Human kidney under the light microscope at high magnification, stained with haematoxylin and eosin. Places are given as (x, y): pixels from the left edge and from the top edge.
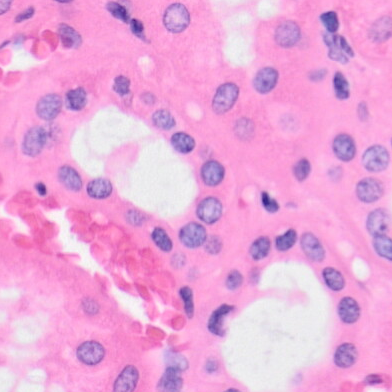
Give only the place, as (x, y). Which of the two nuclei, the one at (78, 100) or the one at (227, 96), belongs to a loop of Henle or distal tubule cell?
(78, 100)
